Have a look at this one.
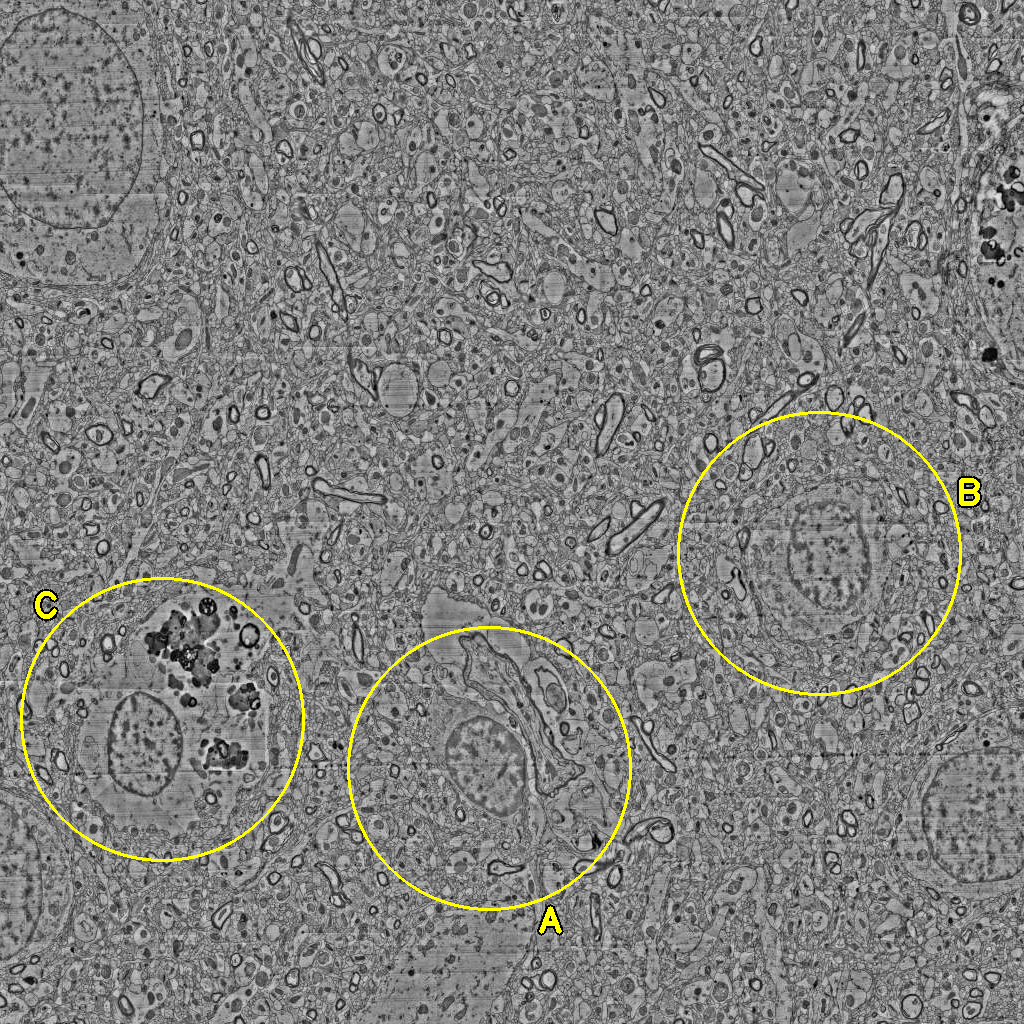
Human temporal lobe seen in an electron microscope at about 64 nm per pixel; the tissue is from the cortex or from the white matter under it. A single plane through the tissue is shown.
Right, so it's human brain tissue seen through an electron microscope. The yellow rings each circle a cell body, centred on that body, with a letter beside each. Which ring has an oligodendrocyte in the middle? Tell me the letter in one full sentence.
That kind of cell is sitting in the middle of ring A there.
